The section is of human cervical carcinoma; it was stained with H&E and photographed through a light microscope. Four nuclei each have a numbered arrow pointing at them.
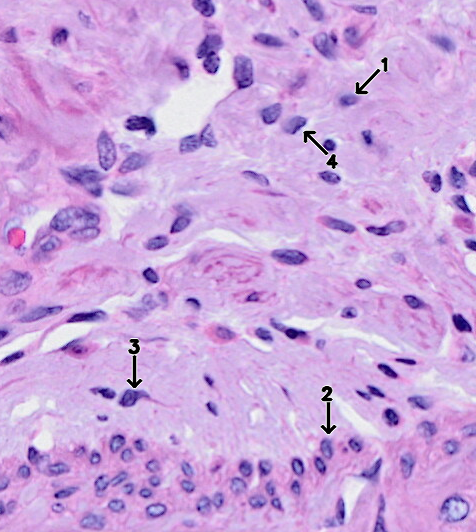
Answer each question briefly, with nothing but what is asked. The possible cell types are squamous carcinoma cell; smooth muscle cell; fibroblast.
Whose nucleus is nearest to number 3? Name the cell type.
fibroblast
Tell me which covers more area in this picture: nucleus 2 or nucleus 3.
3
